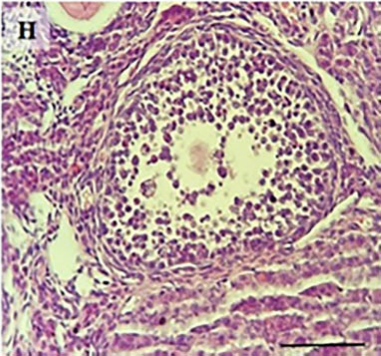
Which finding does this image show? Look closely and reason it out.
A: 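Degenerated. Cells are scattered loosely within a pale central space. No intact oocyte with zona is seen.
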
